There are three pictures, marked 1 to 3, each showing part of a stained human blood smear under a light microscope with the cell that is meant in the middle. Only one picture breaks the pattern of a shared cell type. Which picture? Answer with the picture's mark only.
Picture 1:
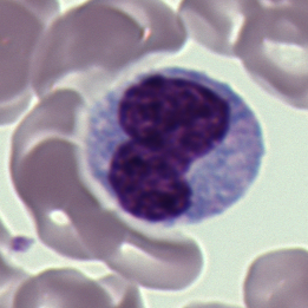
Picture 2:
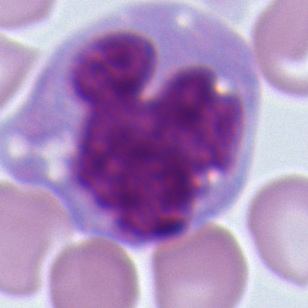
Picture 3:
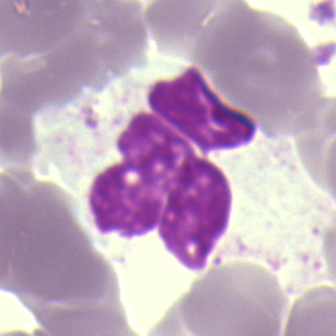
3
